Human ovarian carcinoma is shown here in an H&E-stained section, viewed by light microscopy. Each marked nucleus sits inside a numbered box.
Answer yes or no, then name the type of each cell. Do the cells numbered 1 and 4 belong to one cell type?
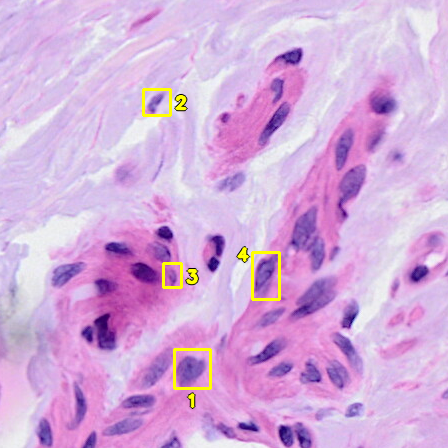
Yes, cells 1 and 4 are both identified as smooth muscle cells.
